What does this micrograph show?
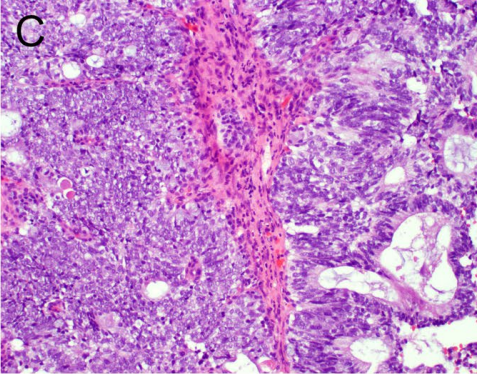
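Within the sheets lie rounded glandular lumina lined by epithelial cells, some holding pale secretion. Cells toward the right edge line up radially in a palisading pattern.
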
